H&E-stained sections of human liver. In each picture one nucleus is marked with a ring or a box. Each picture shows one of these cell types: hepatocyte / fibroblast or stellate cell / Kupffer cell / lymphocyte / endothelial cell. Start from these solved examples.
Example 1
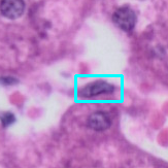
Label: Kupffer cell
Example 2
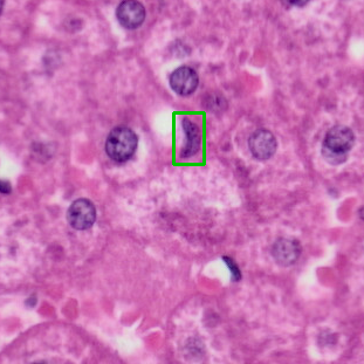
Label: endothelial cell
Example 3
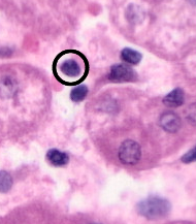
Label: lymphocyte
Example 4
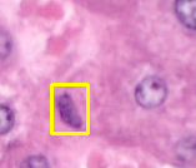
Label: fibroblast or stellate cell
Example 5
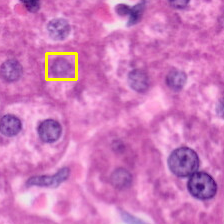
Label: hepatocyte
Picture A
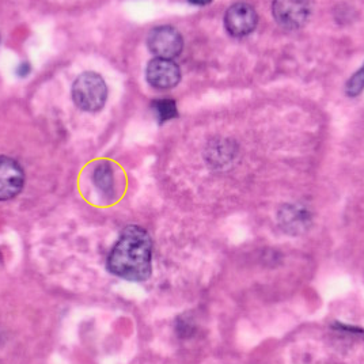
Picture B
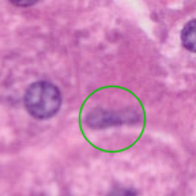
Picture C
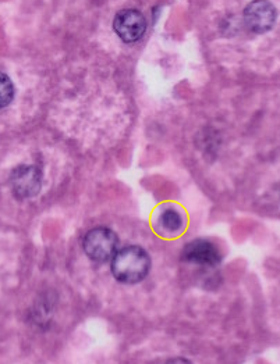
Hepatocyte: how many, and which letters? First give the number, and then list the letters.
0, none of them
